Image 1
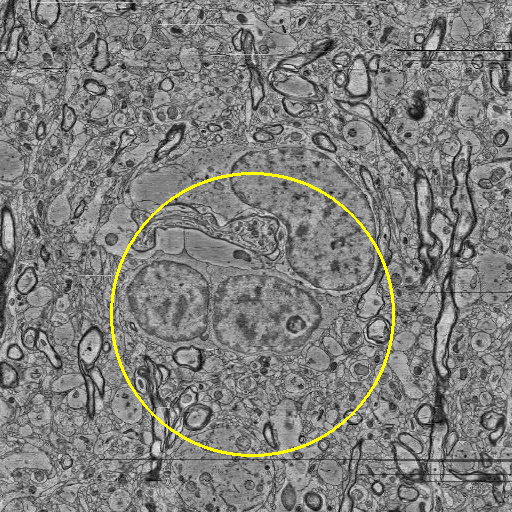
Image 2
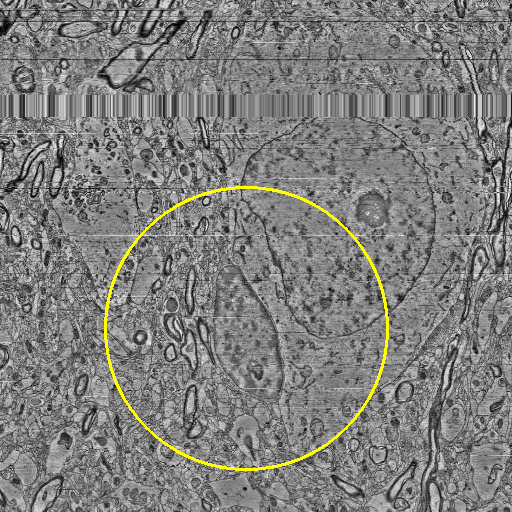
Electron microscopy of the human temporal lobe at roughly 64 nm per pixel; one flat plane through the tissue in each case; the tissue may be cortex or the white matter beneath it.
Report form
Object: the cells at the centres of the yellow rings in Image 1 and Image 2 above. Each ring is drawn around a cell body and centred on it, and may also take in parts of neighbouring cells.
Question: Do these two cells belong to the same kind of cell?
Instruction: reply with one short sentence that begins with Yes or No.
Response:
Yes, both belong to the same kind of cell.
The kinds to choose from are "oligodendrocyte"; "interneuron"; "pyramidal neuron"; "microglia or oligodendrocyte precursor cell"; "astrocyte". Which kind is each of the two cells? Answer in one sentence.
Each of the two cells is an oligodendrocyte.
